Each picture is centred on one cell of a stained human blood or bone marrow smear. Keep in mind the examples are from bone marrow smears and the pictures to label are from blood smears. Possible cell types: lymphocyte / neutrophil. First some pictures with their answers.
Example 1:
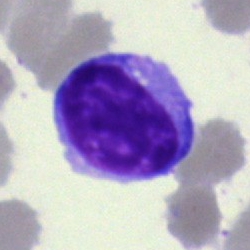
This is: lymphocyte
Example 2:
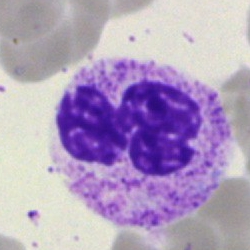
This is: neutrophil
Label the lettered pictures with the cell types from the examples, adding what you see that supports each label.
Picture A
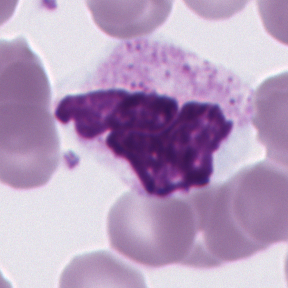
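neutrophil. Reason: The cytoplasm is pale, nearly colourless with a faint pink tinge.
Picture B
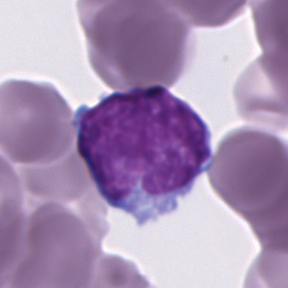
lymphocyte. Reason: The cytoplasm is a scanty pale blue rim that is widest below the nucleus.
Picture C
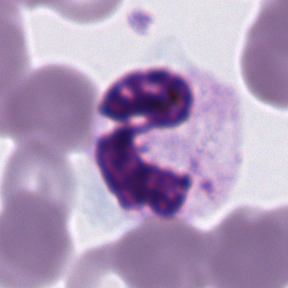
neutrophil. Reason: The nucleus is bent into a C shape that opens toward the right.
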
